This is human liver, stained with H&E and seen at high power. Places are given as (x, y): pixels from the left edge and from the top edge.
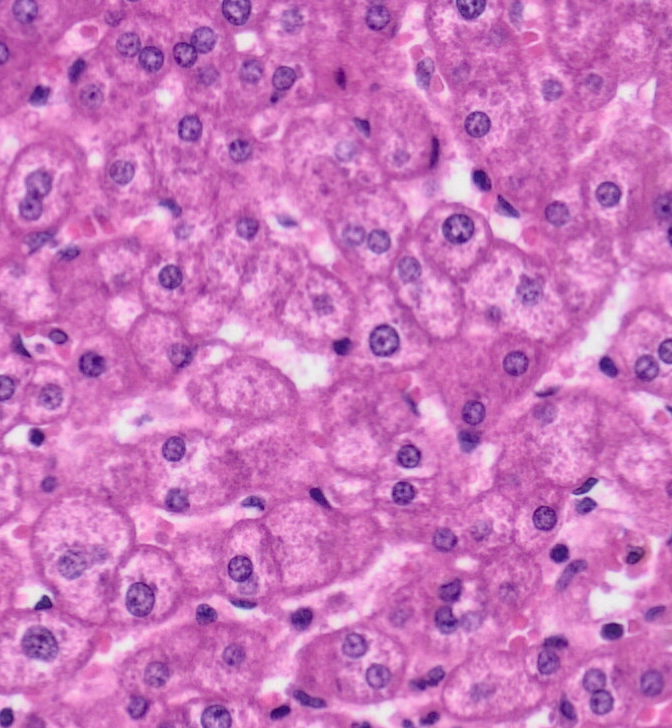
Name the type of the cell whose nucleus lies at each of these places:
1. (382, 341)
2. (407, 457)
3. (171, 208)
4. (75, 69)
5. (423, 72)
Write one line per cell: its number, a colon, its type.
1: hepatocyte
2: hepatocyte
3: endothelial cell
4: fibroblast or stellate cell
5: Kupffer cell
